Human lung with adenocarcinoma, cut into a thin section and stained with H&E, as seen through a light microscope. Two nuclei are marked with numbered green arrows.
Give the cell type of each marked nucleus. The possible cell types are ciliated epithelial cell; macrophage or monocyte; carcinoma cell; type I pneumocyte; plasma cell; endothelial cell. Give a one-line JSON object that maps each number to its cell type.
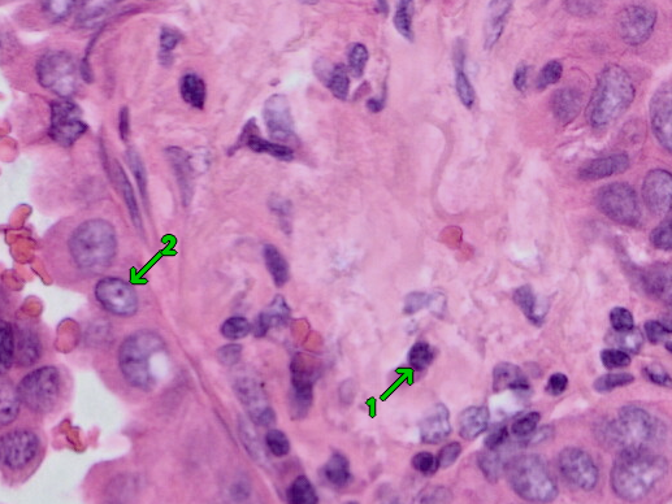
{"1": "plasma cell", "2": "carcinoma cell"}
